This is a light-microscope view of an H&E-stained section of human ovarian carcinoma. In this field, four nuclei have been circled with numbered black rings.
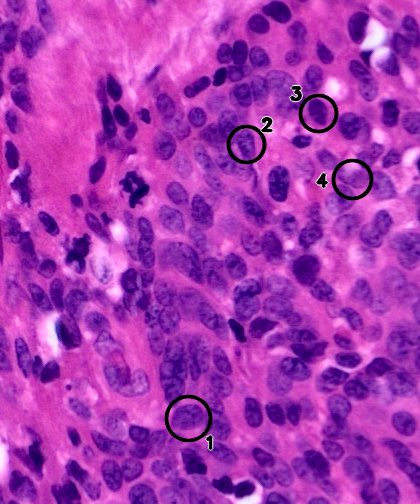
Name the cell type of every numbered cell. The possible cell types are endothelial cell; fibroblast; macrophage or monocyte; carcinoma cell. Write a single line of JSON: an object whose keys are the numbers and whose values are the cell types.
{"1": "carcinoma cell", "2": "macrophage or monocyte", "3": "carcinoma cell", "4": "carcinoma cell"}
